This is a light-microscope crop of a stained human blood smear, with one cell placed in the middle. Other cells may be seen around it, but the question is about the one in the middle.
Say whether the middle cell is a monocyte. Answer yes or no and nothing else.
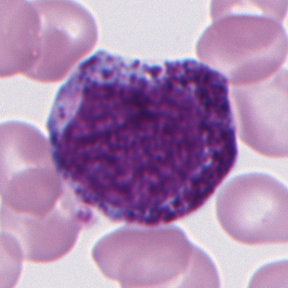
no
